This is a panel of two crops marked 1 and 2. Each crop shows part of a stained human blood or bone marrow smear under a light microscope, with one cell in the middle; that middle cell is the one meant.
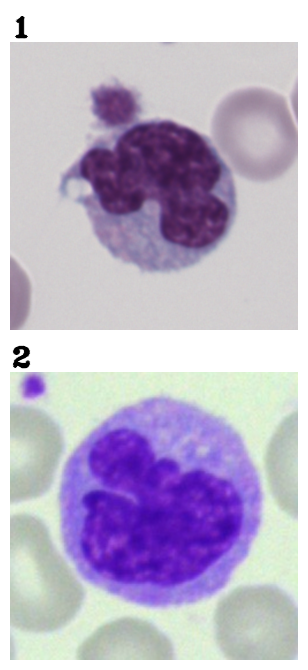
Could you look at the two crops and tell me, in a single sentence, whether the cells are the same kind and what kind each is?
Yes, the cells at the centre of the two crops are both monocytes.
